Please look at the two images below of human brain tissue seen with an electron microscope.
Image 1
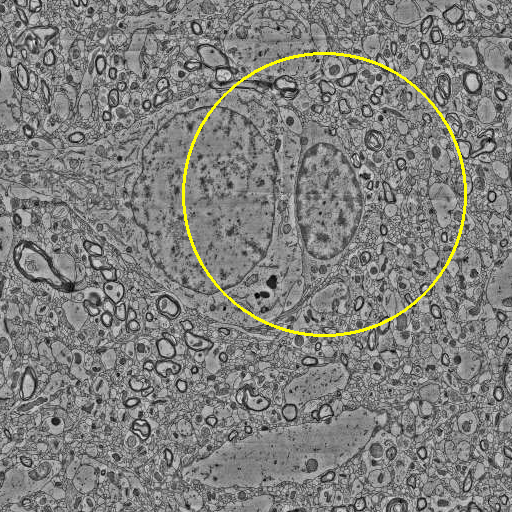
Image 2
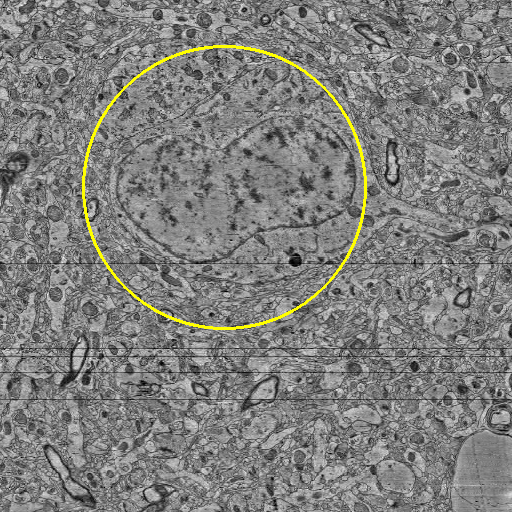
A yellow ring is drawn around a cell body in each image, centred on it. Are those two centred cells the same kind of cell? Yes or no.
no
